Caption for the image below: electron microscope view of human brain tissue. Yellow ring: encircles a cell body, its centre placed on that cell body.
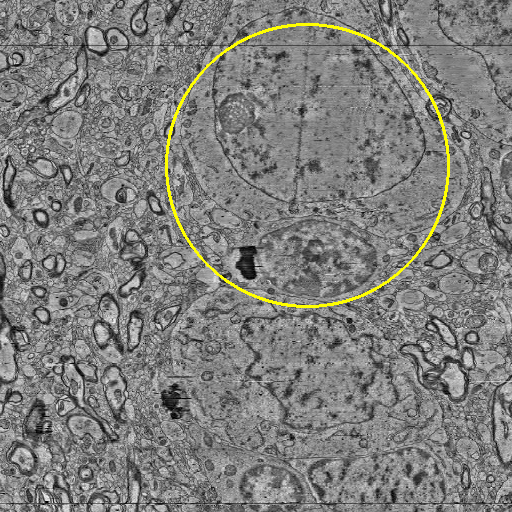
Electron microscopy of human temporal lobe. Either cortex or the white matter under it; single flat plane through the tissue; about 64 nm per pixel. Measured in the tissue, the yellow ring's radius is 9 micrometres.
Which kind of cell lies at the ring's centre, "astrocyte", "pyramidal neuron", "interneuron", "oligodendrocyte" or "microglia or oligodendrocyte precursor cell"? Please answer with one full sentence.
The picture shows a pyramidal neuron at the centre of the yellow ring.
